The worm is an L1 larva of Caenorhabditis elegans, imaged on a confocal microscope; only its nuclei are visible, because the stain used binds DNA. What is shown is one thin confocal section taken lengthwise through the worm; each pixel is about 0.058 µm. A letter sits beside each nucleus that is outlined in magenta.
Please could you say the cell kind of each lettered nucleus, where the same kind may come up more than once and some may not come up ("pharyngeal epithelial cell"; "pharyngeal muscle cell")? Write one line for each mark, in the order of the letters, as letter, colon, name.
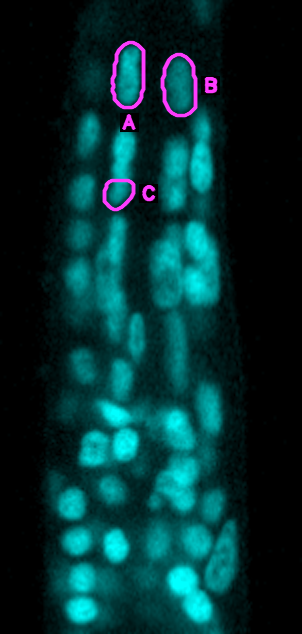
A: pharyngeal epithelial cell
B: pharyngeal epithelial cell
C: pharyngeal muscle cell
